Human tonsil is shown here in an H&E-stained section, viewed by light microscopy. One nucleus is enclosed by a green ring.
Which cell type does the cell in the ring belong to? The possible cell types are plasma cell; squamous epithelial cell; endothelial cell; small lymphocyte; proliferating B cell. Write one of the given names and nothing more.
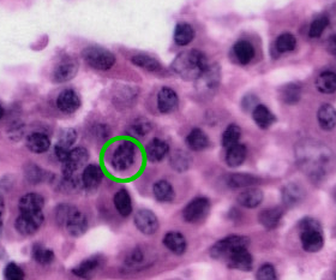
plasma cell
